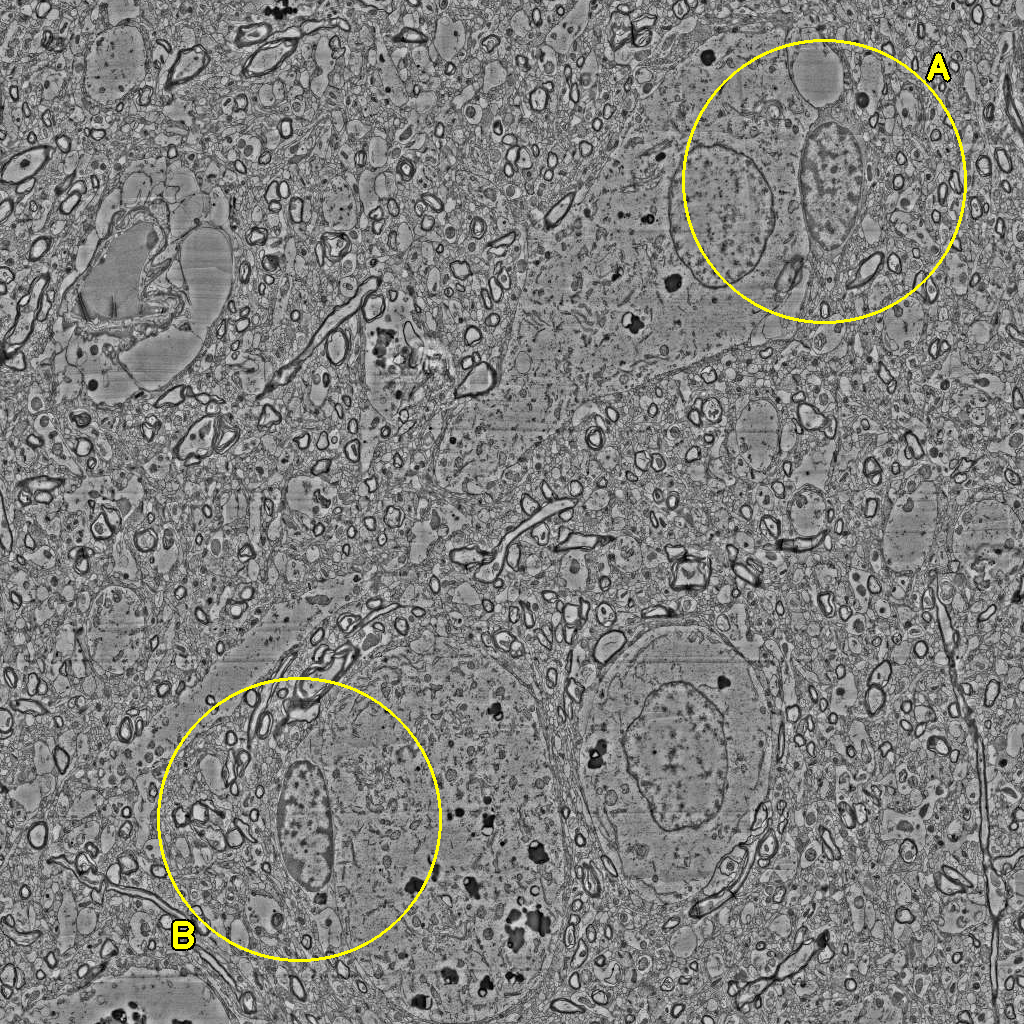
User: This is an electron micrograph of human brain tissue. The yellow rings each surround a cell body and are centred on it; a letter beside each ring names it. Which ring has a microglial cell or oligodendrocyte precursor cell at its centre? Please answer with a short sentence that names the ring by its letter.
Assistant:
Ring B has it at its centre.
